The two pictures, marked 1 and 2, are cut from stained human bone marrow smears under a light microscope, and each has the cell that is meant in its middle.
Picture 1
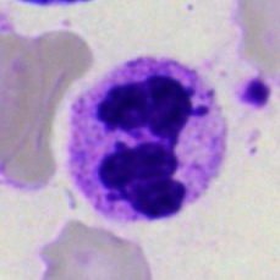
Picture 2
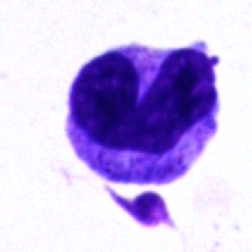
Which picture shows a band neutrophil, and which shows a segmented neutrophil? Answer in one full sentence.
It is picture 1 that shows a segmented neutrophil, and picture 2 that shows a band neutrophil.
